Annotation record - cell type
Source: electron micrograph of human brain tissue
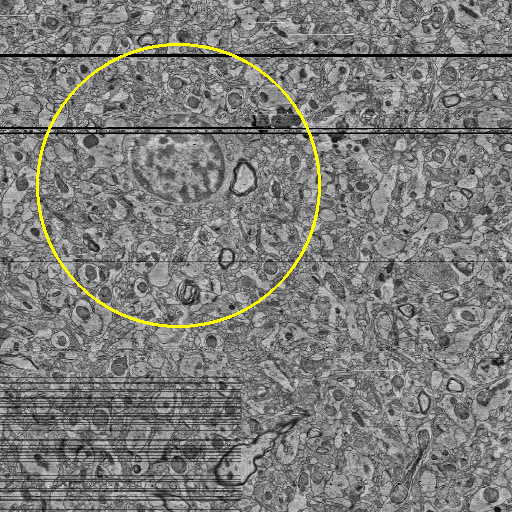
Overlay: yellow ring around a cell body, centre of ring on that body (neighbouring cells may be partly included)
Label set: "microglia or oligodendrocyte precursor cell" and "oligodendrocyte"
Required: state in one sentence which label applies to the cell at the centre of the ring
This cell should be labelled as an oligodendrocyte.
